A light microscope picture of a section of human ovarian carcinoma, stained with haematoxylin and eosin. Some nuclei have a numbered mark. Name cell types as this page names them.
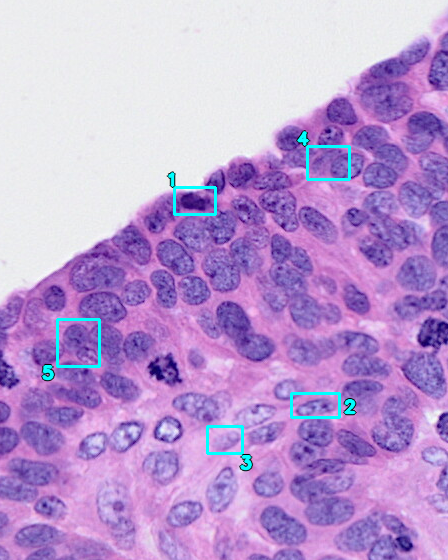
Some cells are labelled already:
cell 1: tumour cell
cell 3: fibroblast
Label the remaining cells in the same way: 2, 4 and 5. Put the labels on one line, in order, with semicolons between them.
fibroblast; tumour cell; tumour cell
